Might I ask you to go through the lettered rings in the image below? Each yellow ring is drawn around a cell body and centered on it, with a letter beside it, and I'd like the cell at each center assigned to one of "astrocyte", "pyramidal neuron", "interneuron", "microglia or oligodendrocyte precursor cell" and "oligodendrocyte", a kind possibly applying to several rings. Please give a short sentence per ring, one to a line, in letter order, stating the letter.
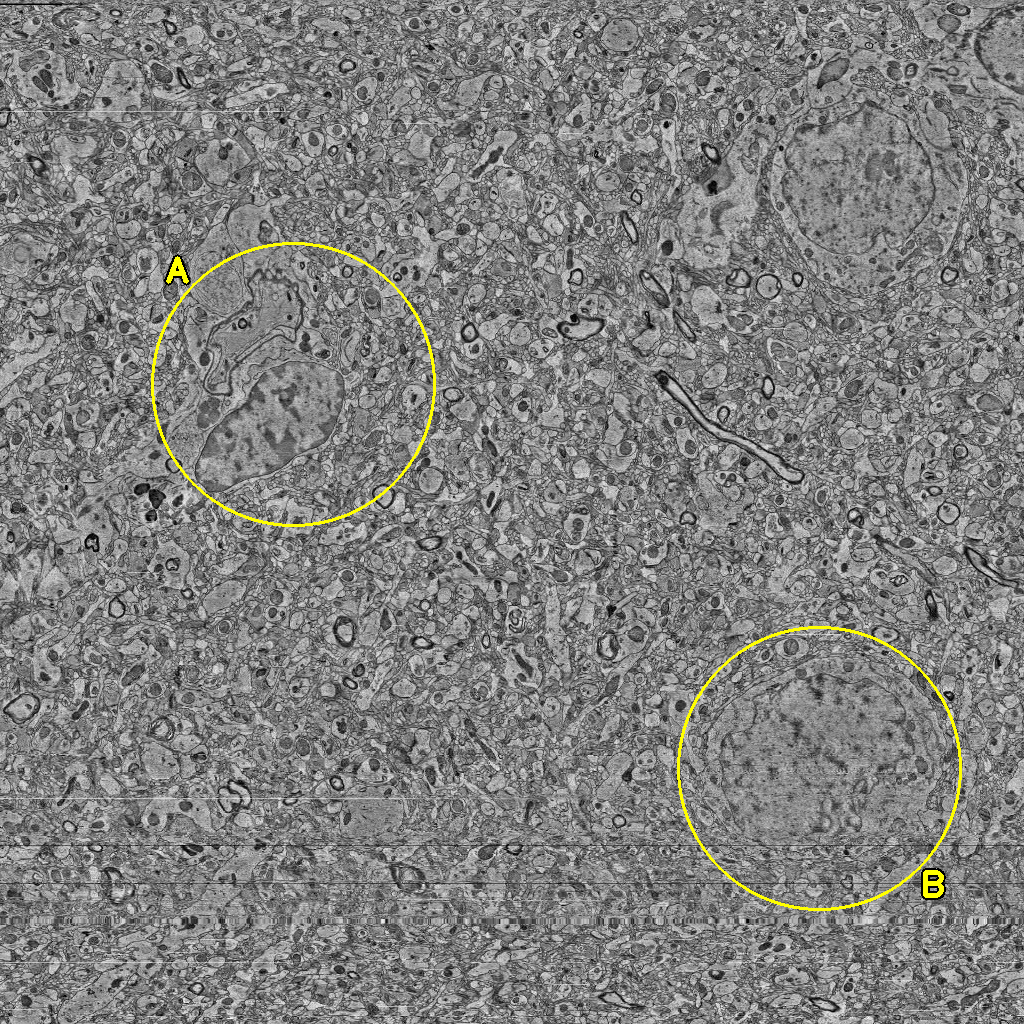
Ring A is centered on the body of a microglial cell or oligodendrocyte precursor cell.
Ring B is centered on the body of an interneuron.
